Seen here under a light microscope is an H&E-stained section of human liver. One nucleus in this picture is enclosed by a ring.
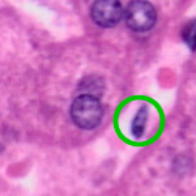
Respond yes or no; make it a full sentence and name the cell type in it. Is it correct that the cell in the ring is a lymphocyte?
Yes, that is right: the cell in the ring is a lymphocyte.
